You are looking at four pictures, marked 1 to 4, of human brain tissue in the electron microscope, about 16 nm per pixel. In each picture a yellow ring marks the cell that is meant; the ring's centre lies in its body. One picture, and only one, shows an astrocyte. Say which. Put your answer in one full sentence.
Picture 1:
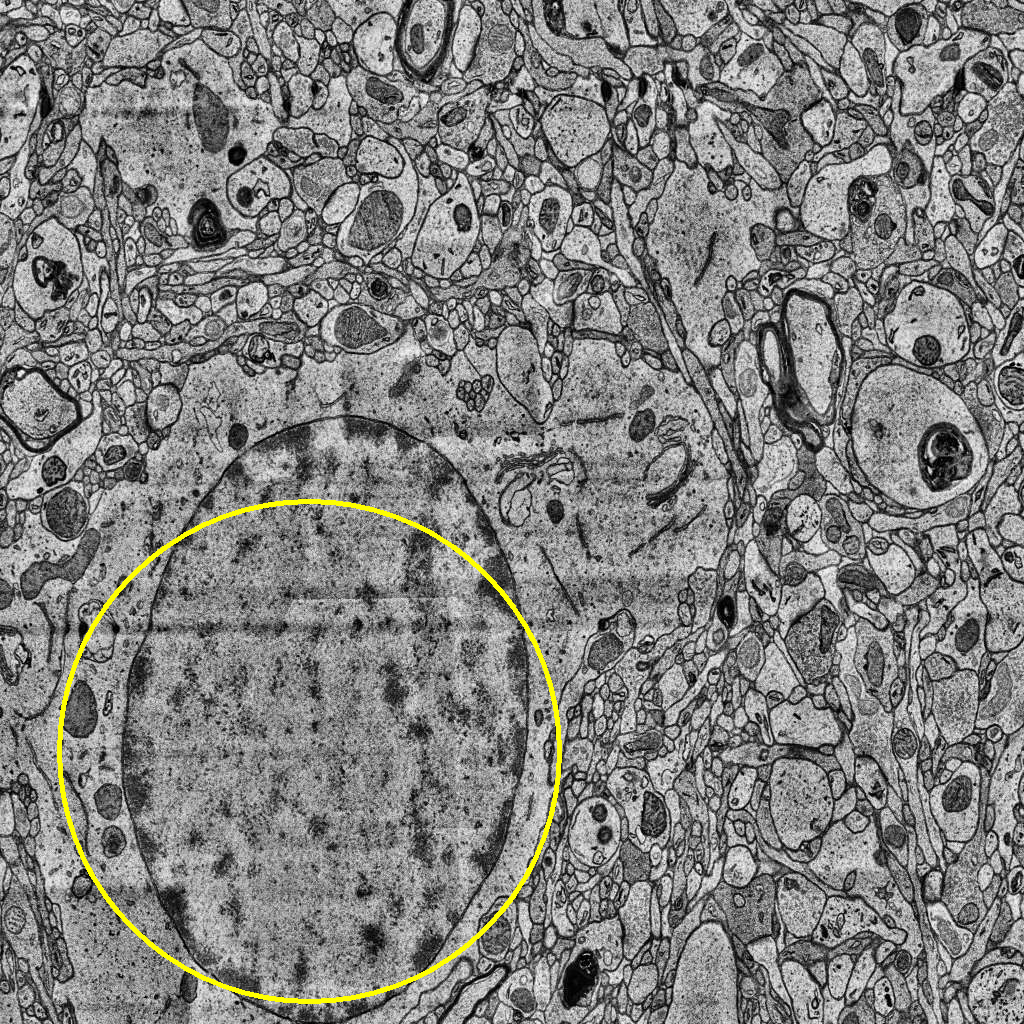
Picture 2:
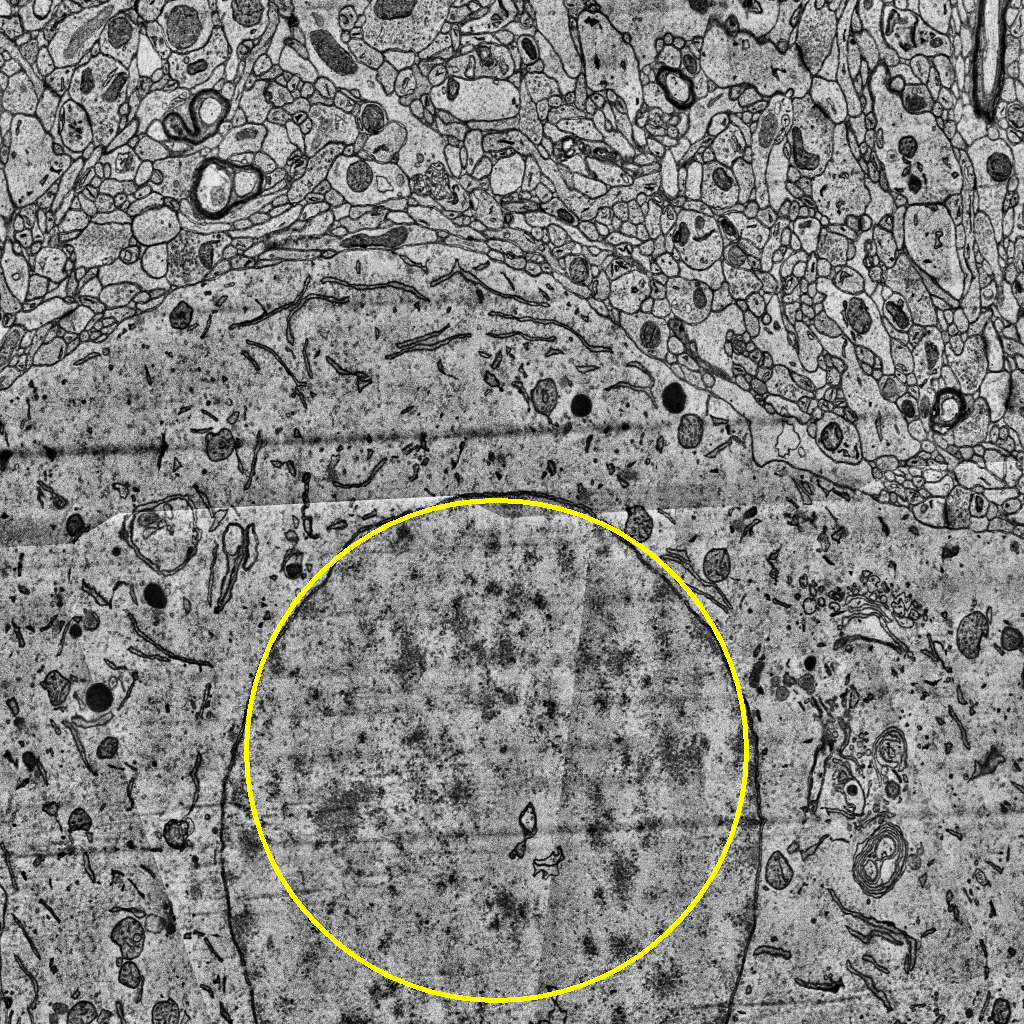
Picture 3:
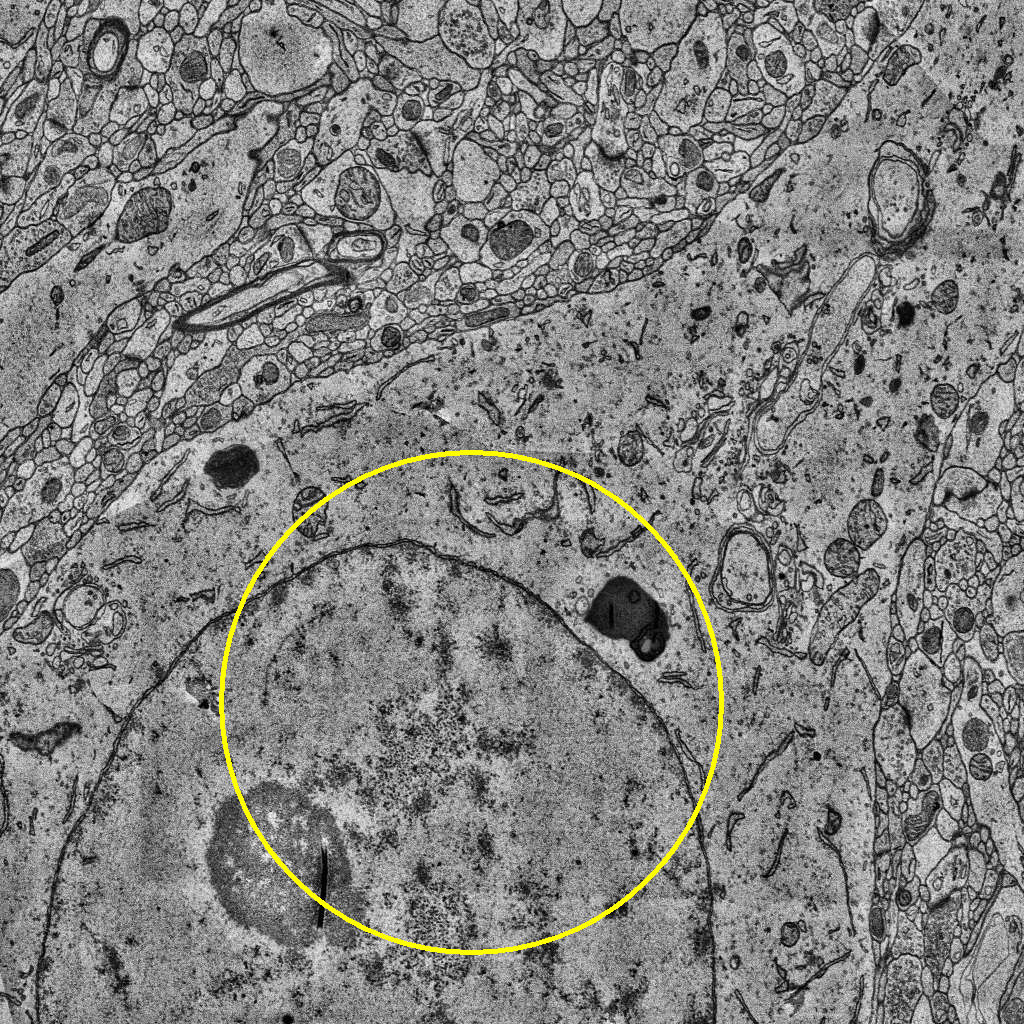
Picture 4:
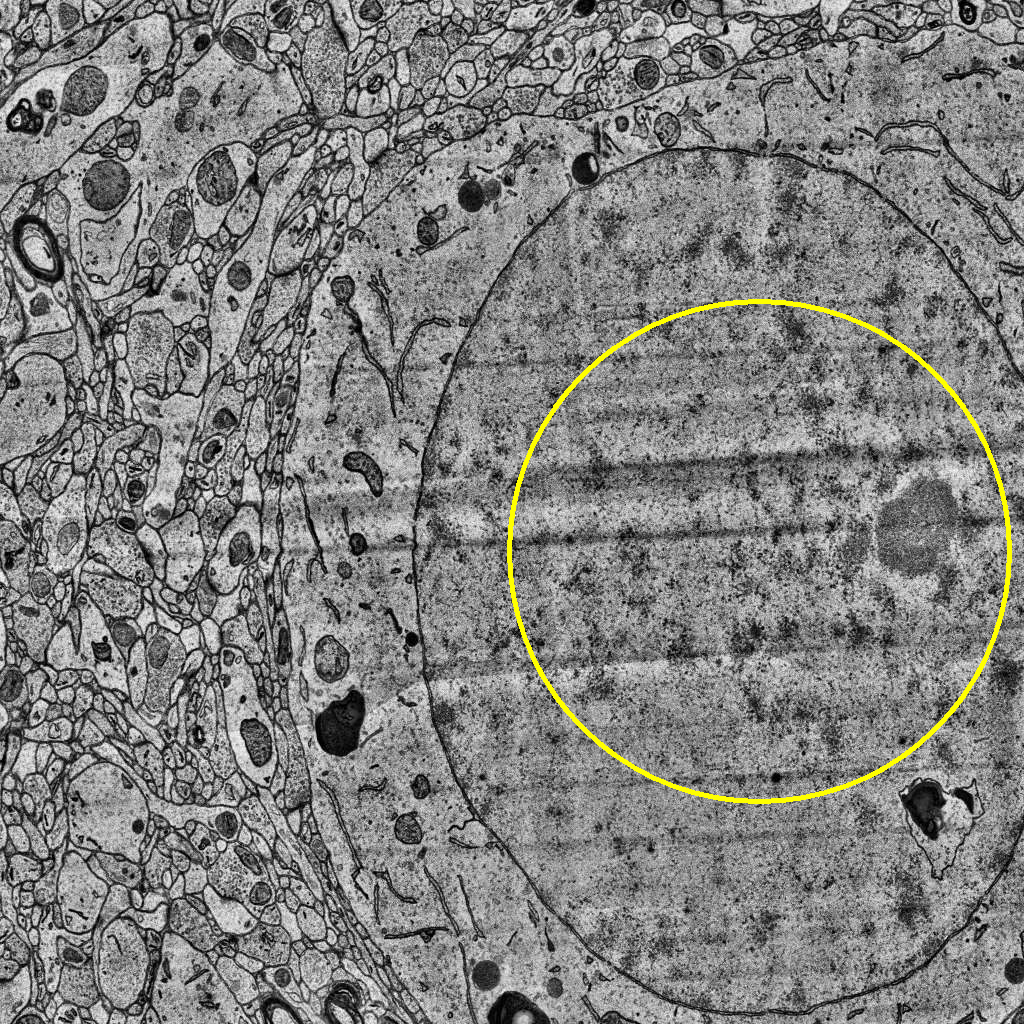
Picture 1 is the one that shows the astrocyte.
